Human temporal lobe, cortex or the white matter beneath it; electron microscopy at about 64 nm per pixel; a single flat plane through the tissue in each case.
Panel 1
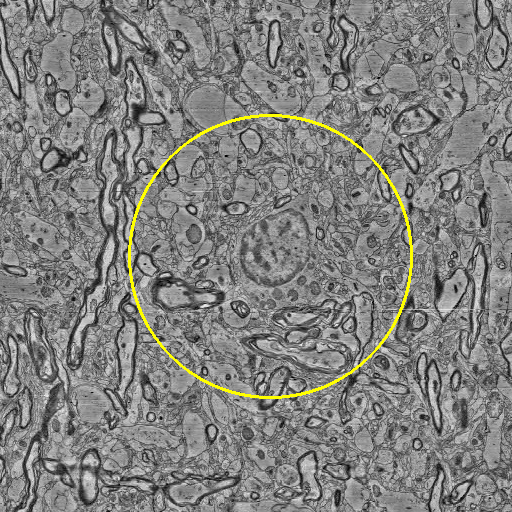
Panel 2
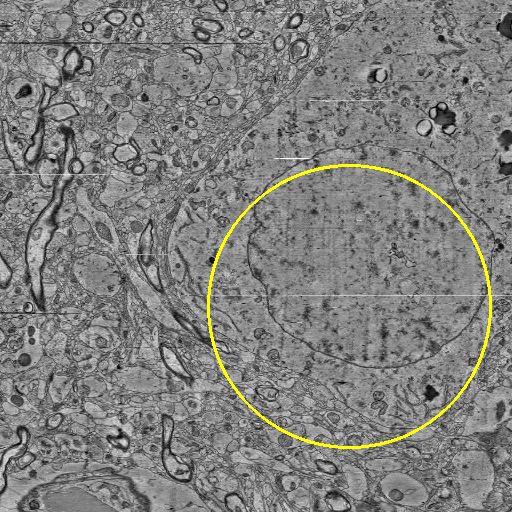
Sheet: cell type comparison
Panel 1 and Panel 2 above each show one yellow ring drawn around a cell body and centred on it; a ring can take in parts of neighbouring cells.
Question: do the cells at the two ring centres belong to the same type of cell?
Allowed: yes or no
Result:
no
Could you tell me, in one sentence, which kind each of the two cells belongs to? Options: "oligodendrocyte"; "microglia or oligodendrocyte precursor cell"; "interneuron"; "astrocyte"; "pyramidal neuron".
At the centre of the first ring sits an oligodendrocyte, and at the centre of the second sits a pyramidal neuron.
